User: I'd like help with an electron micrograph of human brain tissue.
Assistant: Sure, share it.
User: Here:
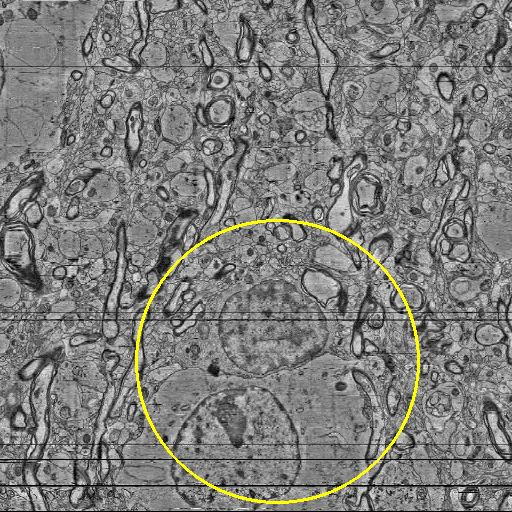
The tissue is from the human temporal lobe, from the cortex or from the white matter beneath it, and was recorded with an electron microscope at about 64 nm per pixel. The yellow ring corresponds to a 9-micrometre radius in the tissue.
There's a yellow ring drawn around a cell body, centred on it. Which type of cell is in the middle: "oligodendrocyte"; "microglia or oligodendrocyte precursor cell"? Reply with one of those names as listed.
oligodendrocyte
